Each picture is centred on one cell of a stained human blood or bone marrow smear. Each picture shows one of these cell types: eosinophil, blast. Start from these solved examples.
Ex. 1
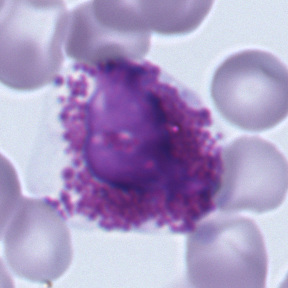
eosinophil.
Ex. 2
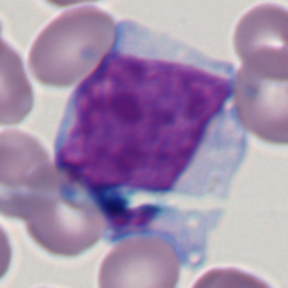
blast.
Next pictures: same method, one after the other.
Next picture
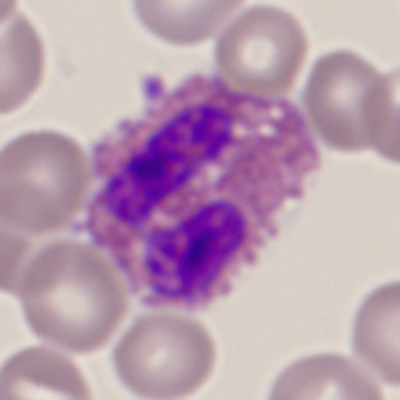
eosinophil.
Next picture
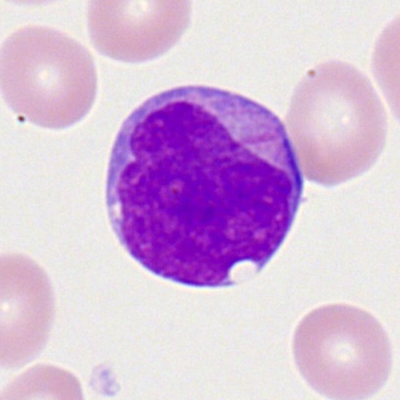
blast.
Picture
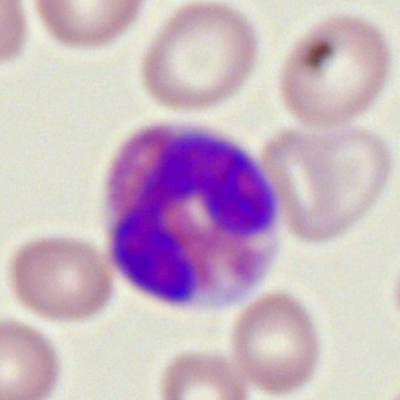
eosinophil.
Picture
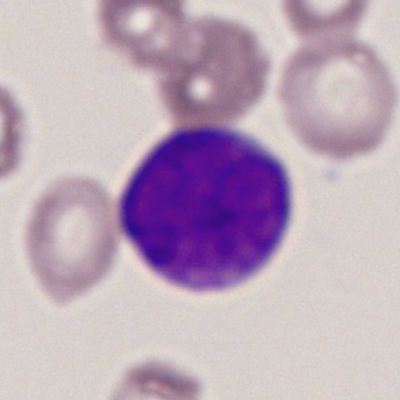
blast.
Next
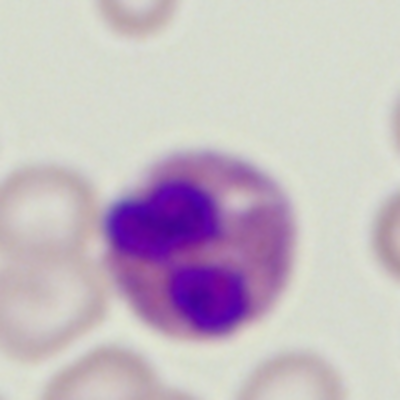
eosinophil.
